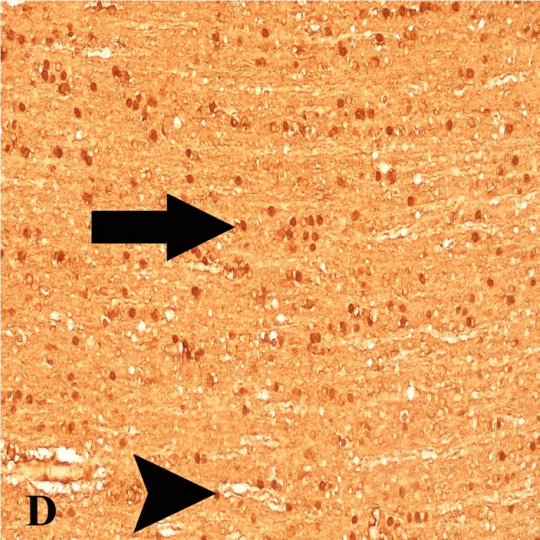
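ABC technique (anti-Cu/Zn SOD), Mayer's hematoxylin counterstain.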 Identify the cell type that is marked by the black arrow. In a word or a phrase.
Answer: Glial cells.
